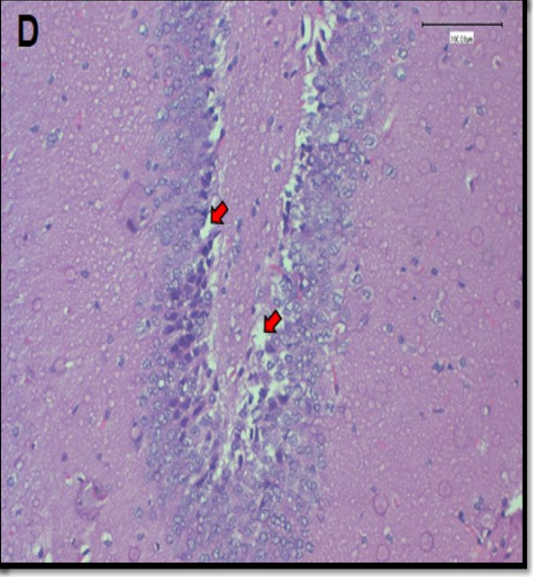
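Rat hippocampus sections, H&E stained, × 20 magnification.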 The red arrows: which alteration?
Vacuolation and oedema.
